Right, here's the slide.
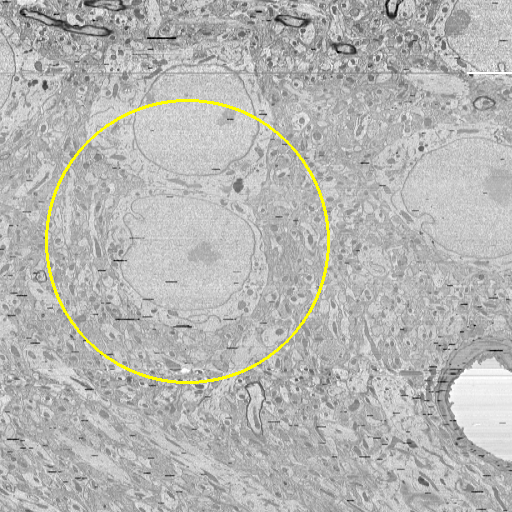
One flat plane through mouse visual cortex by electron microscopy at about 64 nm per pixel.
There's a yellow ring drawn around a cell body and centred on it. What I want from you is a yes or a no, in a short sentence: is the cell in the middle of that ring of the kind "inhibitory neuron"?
No, it's of some other kind.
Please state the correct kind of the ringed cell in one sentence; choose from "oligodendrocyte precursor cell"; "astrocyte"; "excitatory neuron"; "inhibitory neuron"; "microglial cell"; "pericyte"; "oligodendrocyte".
The cell that the ring is centred on is an excitatory neuron.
